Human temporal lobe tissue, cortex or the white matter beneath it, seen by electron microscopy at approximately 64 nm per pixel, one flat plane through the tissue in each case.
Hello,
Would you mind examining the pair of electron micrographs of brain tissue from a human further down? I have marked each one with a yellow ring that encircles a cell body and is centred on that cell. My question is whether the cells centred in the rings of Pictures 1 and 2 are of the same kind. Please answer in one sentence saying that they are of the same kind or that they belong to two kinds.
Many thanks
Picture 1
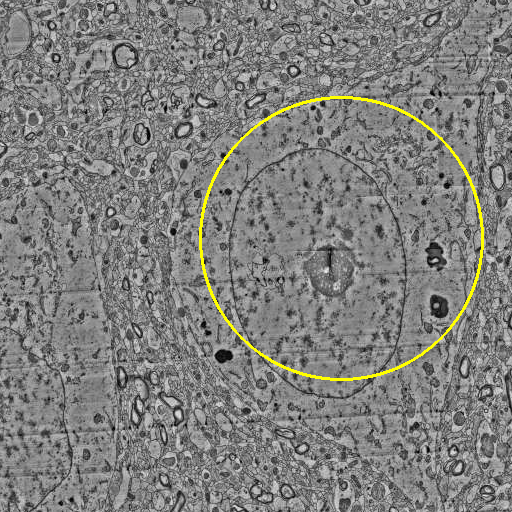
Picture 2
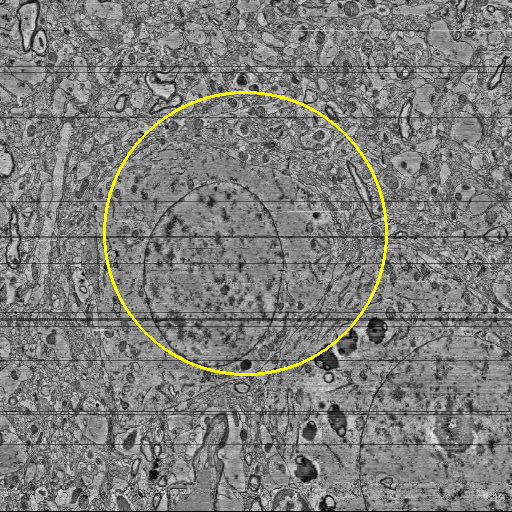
In Pictures 1 and 2, the cells at the heart of the rings are of the same kind.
